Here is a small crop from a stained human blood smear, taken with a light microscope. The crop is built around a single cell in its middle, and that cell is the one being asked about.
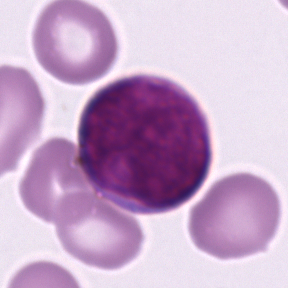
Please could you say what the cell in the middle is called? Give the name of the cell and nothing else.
myeloblast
